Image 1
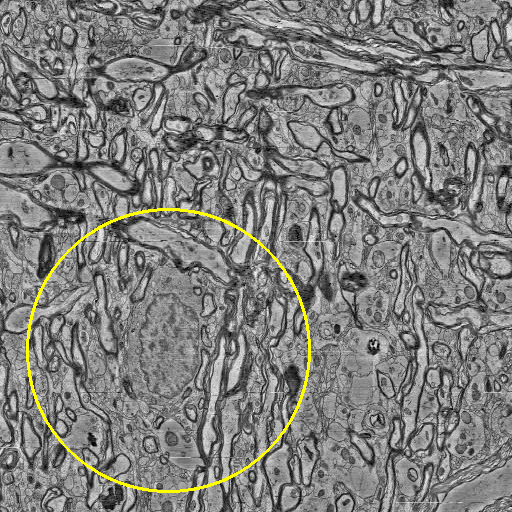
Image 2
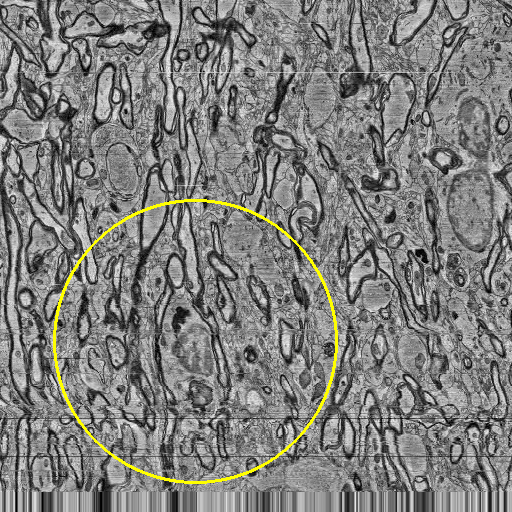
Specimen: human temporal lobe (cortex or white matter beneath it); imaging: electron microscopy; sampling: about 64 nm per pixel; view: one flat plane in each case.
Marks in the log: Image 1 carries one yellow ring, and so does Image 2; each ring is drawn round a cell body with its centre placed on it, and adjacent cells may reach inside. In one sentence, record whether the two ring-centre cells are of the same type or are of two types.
The two cells at the ring centres, one in each image, are of the same type.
